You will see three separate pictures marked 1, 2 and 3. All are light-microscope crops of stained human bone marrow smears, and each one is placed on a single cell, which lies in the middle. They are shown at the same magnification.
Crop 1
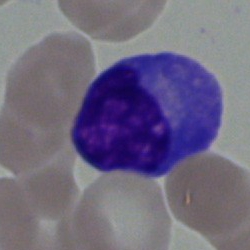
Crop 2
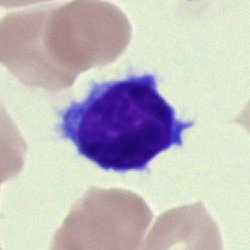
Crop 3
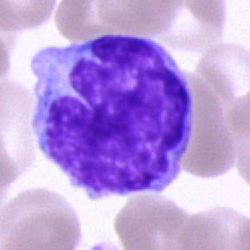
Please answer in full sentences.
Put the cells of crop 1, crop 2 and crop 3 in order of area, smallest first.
Smallest first: 2, 1, 3.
